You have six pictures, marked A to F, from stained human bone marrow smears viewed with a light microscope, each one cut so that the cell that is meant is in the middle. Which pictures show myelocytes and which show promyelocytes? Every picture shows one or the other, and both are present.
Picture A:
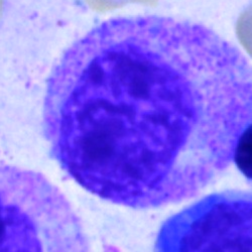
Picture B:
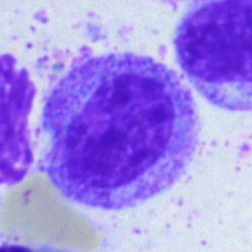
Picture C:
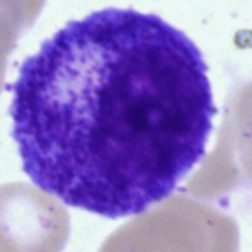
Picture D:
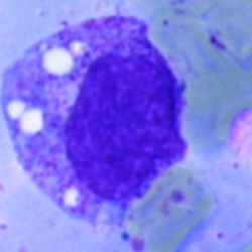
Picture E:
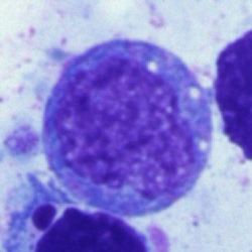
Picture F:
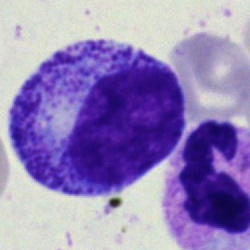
A: myelocyte
B: myelocyte
C: promyelocyte
D: myelocyte
E: promyelocyte
F: myelocyte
